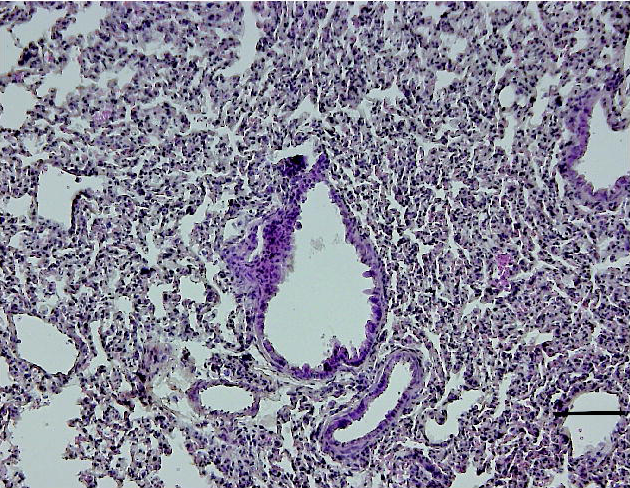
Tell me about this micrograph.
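Lung parenchyma with bronchioles lined by purple-staining columnar epithelium, surrounded by extensively consolidated alveolar tissue. Alveolar septa are markedly thickened and crowded with small dark-staining nuclei, and most air spaces are narrowed or lost. Scattered pink-red material lies among the cells of the parenchyma. The bronchiolar lining appears irregular, with a dense cluster of cells at one wall of the central airway.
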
